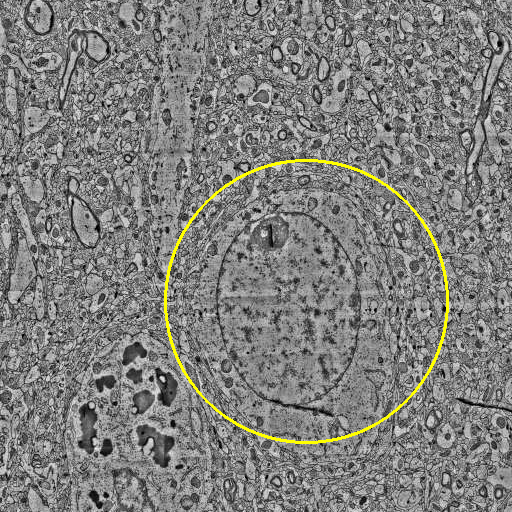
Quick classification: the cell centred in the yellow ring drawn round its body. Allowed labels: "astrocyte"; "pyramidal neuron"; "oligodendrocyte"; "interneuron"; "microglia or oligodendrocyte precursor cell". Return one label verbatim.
pyramidal neuron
